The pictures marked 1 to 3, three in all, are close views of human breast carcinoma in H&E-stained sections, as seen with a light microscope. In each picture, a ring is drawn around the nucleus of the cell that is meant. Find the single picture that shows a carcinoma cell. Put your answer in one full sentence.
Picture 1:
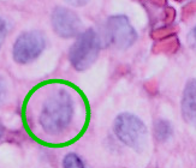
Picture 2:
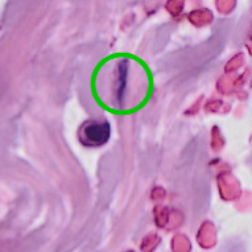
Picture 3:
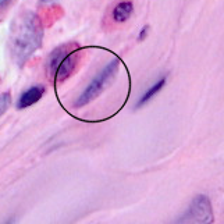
Picture 1 is the one that shows the carcinoma cell.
